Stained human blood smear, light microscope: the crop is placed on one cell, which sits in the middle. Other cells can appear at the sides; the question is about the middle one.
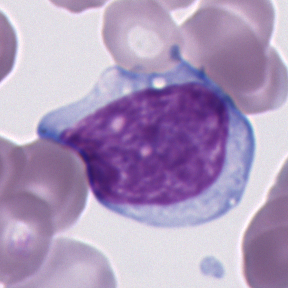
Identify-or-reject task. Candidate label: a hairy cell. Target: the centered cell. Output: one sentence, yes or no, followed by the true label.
No, a hairy cell is not what the central cell is; it is a myeloblast.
